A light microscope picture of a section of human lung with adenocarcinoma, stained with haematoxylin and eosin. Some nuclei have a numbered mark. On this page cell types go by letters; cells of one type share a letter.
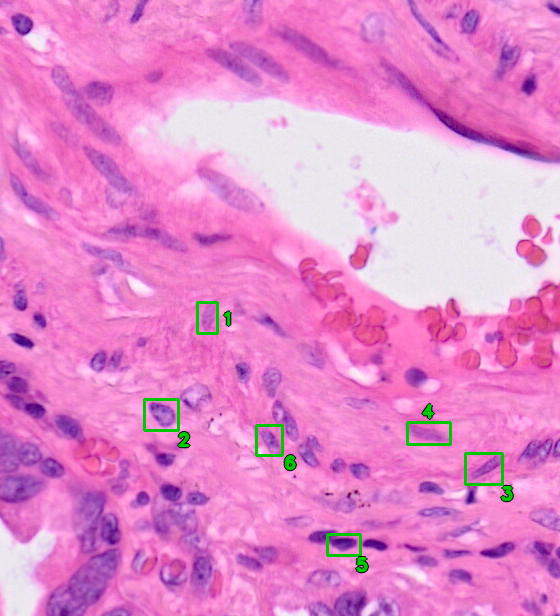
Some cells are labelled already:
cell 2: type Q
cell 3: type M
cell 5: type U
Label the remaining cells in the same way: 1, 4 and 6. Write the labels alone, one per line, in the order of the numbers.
type M
type M
type M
